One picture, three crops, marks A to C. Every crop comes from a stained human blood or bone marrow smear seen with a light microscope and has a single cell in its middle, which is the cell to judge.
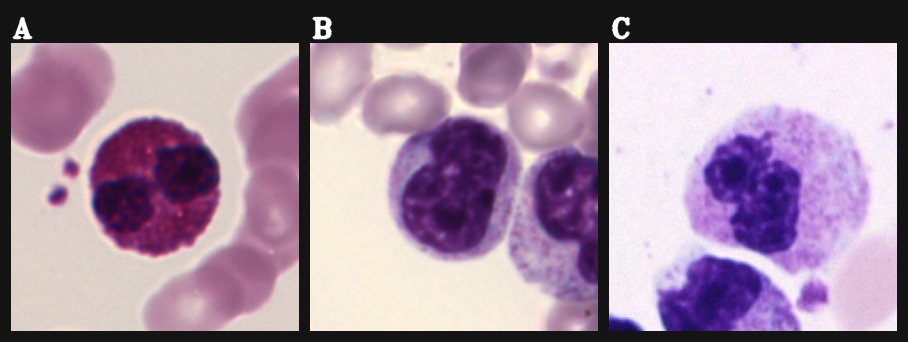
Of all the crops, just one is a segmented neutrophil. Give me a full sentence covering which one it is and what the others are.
Crop C is identified as a segmented neutrophil, while crop A is an eosinophil and crop B is a metamyelocyte.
